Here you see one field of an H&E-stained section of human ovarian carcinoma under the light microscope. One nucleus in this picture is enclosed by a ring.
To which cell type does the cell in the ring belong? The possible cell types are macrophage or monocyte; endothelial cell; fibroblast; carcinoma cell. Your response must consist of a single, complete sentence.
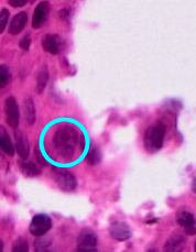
Cell type answer for this item: the cell in the ring is a carcinoma cell.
